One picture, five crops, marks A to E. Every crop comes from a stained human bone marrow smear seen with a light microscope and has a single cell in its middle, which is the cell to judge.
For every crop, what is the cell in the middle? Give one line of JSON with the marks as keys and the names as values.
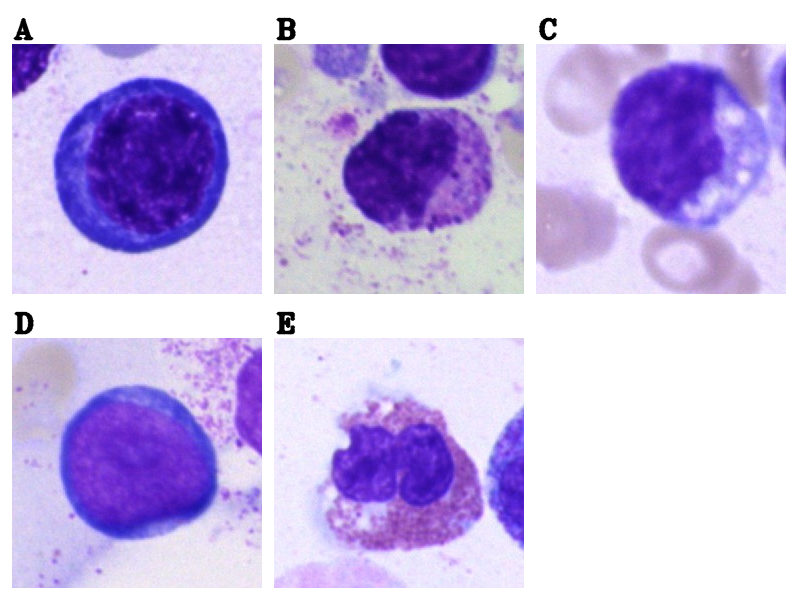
{"A": "proerythroblast", "B": "basophil", "C": "monocyte", "D": "proerythroblast", "E": "eosinophil"}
